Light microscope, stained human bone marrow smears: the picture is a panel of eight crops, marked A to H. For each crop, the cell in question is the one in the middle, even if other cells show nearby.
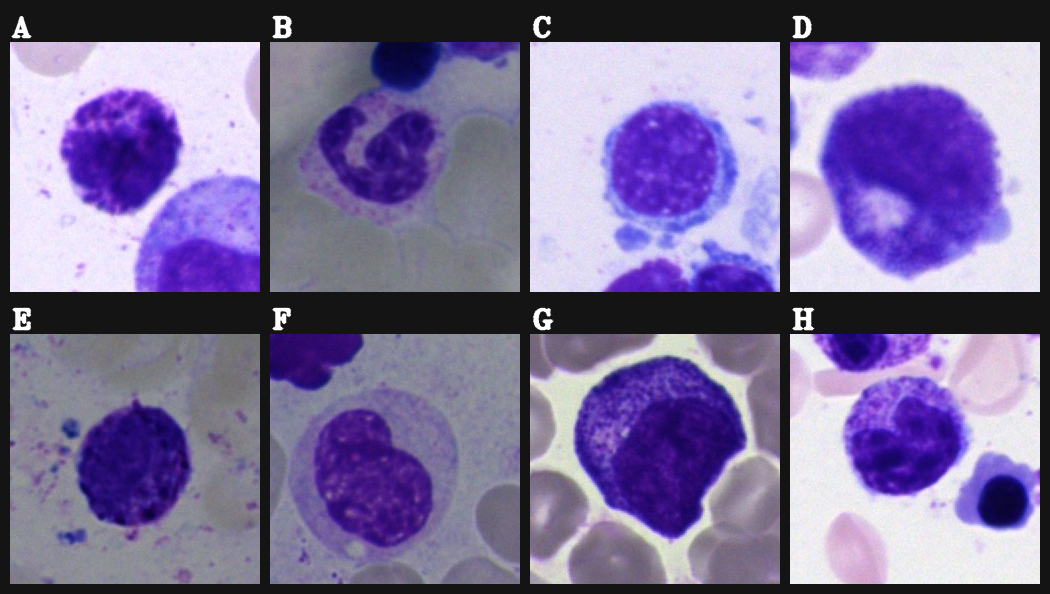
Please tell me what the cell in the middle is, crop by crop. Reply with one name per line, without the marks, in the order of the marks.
basophil
segmented neutrophil
lymphocyte
promyelocyte
basophil
metamyelocyte
promyelocyte
metamyelocyte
